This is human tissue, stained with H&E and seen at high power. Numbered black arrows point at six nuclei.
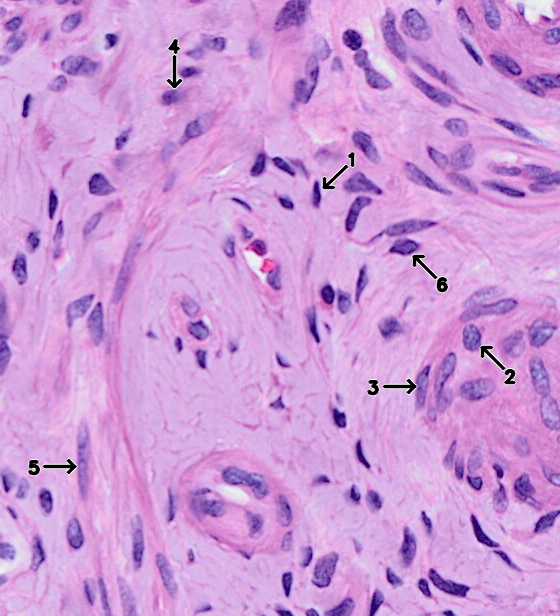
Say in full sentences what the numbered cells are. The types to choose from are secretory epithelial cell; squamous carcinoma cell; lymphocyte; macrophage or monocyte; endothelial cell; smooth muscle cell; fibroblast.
Cell 1 is a fibroblast, cell 2 is a smooth muscle cell, cell 3 is a smooth muscle cell, cell 4 is a smooth muscle cell, cell 5 is a smooth muscle cell and cell 6 is a fibroblast.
